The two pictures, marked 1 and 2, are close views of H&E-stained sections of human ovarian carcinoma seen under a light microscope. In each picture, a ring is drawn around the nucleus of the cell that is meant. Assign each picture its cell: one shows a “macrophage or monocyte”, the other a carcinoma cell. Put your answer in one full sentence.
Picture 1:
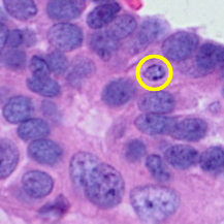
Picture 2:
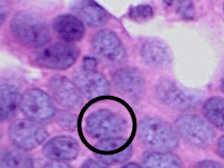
Picture 2 shows a carcinoma cell, while picture 1 shows a “macrophage or monocyte”.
